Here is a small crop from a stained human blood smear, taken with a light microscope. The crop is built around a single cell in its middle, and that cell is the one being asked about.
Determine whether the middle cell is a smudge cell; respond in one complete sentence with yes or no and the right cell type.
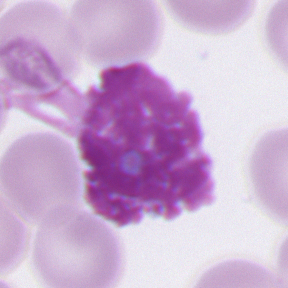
Yes, what sits in the middle of the crop is a smudge cell.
